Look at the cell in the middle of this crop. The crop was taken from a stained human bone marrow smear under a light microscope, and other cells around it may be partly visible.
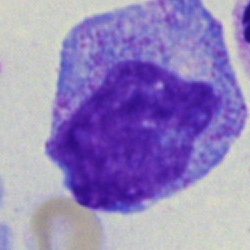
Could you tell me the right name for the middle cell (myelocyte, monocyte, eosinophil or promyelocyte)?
promyelocyte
